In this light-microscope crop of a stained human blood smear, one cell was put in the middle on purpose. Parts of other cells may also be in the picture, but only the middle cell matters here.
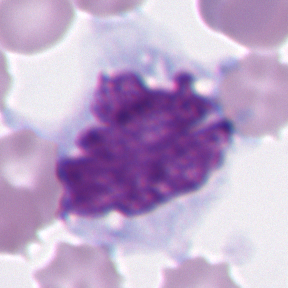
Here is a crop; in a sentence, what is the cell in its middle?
The cell at the centre of the field is a monocyte.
